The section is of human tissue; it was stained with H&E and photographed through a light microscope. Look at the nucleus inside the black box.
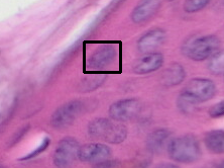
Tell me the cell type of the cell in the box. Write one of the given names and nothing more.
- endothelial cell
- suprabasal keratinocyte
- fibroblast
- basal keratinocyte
suprabasal keratinocyte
